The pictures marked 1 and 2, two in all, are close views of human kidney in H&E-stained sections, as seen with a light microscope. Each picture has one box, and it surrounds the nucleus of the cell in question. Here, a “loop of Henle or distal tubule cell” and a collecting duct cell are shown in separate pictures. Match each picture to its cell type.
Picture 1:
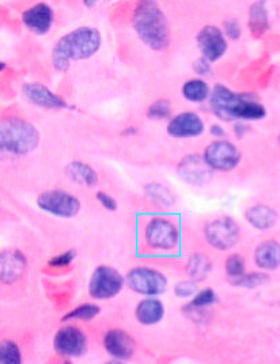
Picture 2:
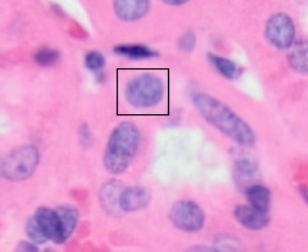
1: loop of Henle or distal tubule cell
2: collecting duct cell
